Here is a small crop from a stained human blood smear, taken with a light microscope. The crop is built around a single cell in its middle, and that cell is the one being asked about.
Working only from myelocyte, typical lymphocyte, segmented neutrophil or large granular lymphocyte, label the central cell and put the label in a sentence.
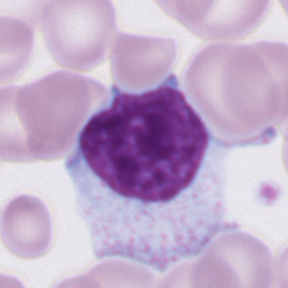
This particular crop is centered on a large granular lymphocyte.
